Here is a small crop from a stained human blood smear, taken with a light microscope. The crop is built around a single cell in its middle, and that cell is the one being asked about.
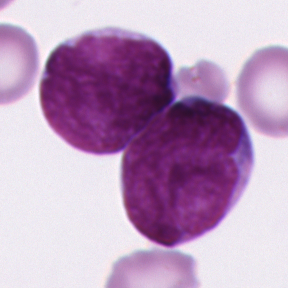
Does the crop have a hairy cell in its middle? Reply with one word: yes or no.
no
